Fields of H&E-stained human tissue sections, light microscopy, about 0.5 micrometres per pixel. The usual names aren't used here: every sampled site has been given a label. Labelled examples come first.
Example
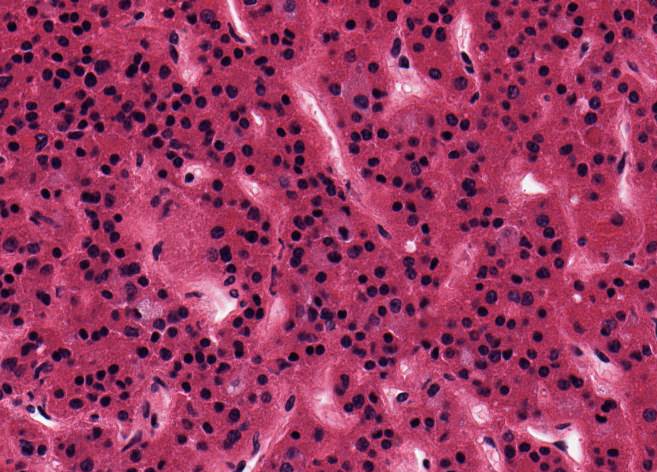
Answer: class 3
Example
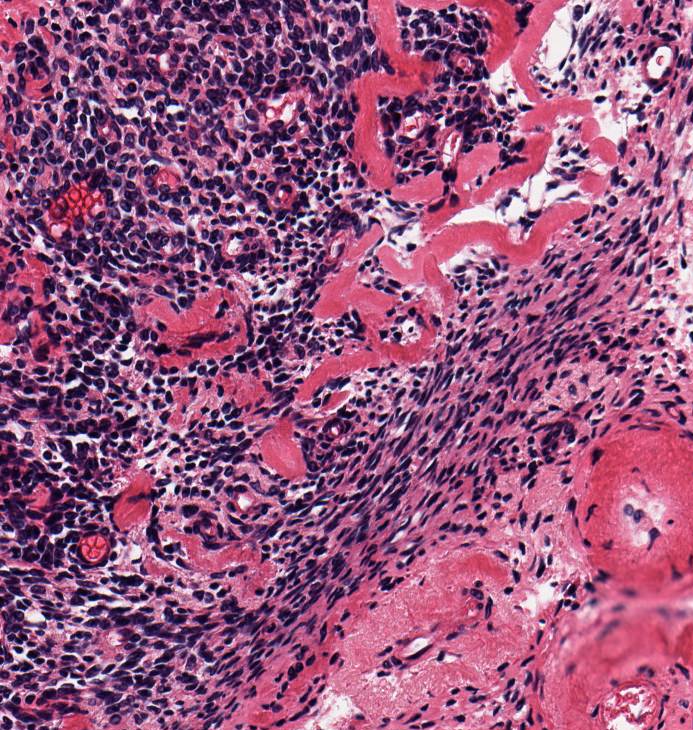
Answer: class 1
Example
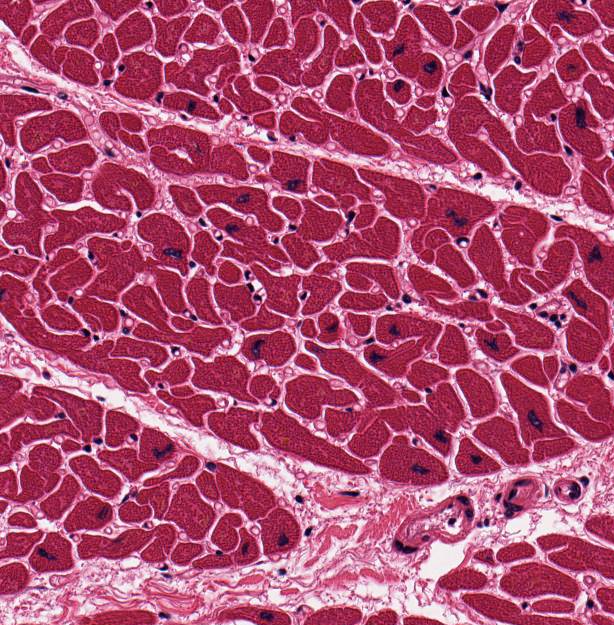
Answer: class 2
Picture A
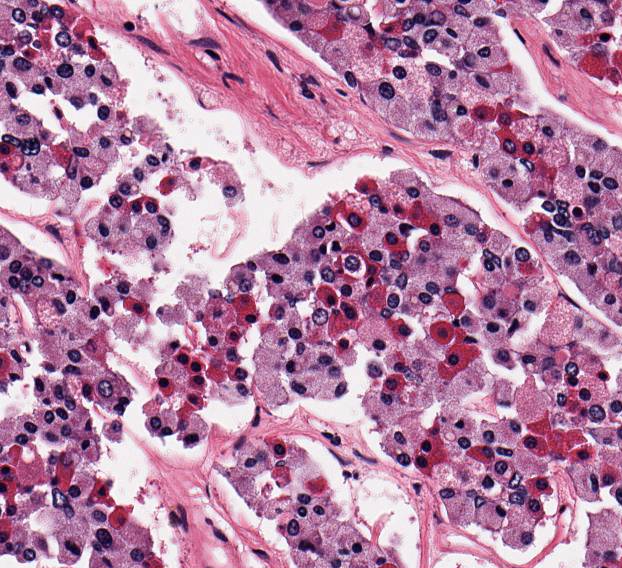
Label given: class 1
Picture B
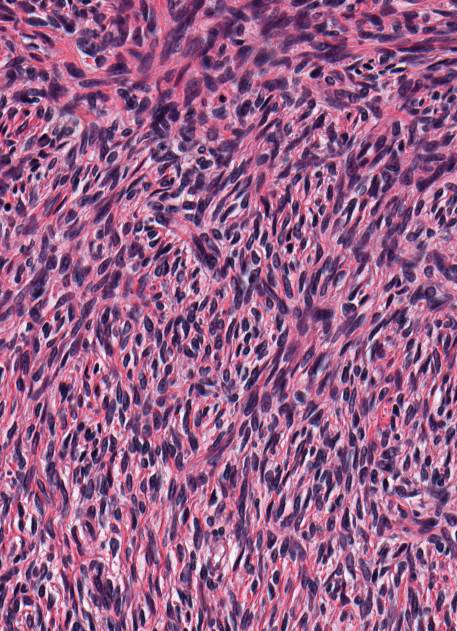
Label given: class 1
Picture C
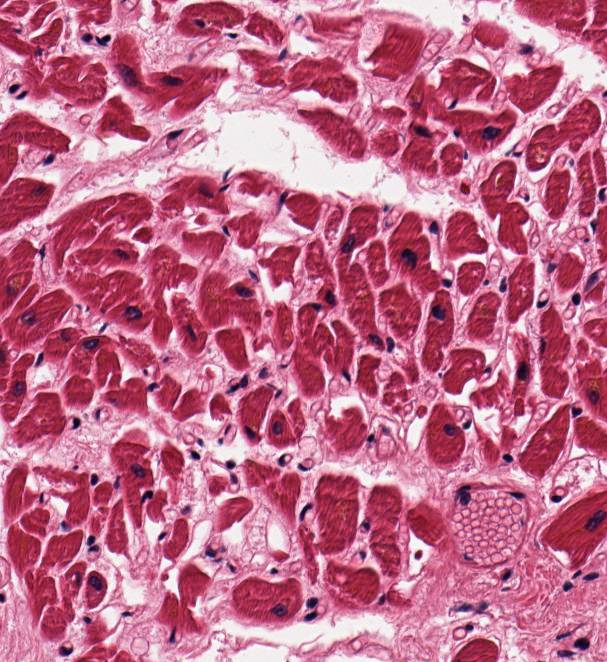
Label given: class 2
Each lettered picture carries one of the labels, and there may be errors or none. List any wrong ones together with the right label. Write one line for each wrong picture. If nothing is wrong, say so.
A is labelled class 1; correct label: class 3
